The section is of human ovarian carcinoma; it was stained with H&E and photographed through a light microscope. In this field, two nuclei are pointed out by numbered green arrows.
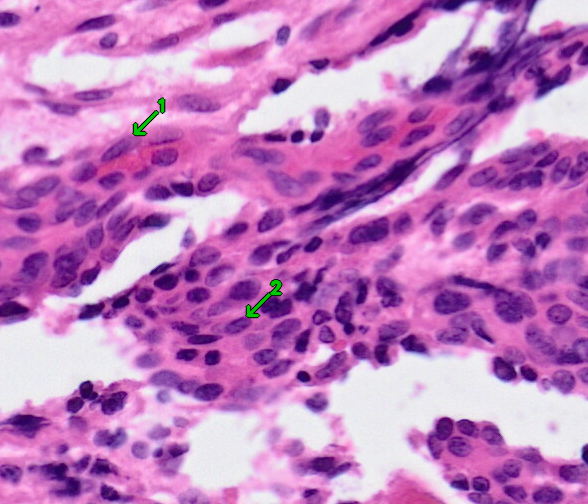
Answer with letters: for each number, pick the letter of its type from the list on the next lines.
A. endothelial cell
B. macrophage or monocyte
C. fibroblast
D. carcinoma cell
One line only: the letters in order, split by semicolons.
A; D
